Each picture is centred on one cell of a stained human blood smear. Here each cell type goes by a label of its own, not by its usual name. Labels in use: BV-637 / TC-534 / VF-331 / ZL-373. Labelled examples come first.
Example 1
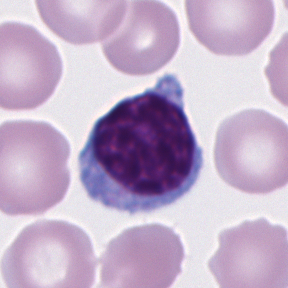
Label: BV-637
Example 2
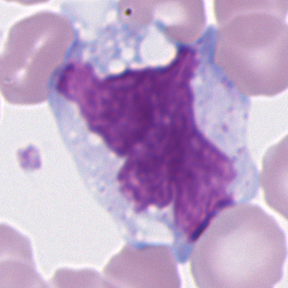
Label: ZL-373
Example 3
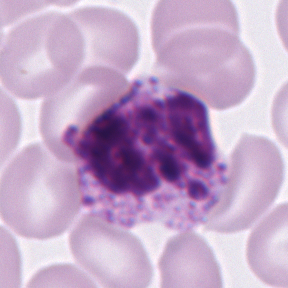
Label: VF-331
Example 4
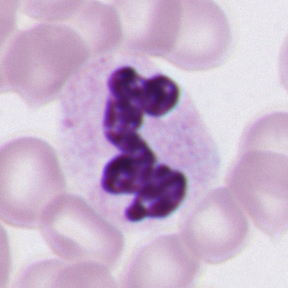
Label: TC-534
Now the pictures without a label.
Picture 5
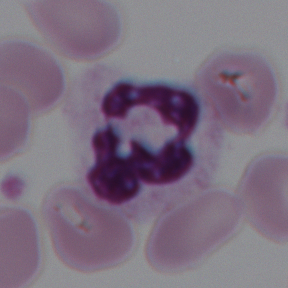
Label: TC-534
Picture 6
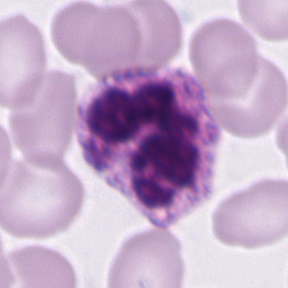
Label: VF-331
